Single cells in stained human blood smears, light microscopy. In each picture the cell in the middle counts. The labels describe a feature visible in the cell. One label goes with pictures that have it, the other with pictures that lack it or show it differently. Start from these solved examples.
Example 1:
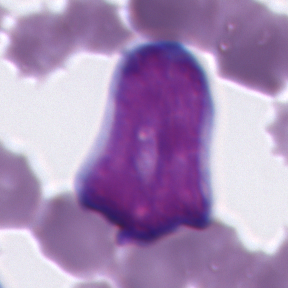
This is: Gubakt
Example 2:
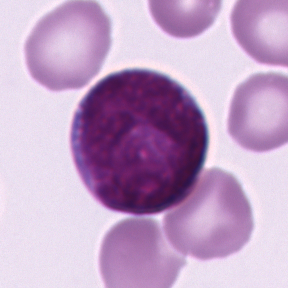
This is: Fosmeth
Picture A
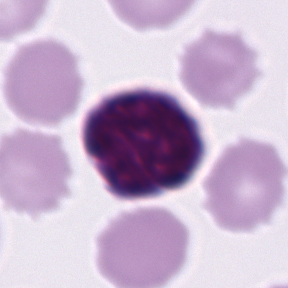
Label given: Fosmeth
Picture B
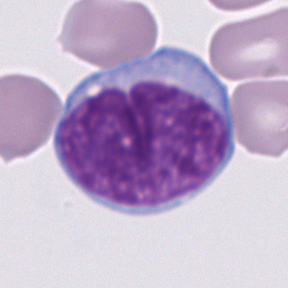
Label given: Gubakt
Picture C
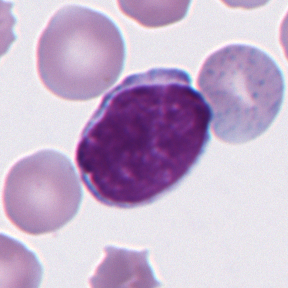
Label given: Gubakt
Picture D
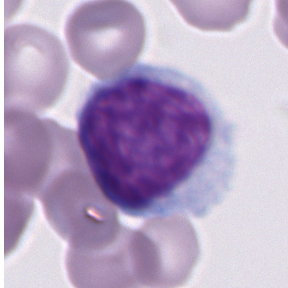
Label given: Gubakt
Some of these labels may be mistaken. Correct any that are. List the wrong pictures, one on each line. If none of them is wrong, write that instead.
Wrong: B (Gubakt); correct: Fosmeth
Wrong: C (Gubakt); correct: Fosmeth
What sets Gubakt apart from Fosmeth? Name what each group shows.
Gubakt, ragged outline or projections; Fosmeth, smooth outline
